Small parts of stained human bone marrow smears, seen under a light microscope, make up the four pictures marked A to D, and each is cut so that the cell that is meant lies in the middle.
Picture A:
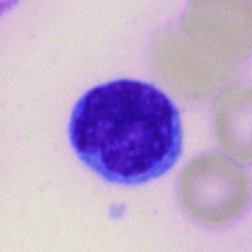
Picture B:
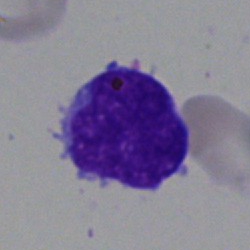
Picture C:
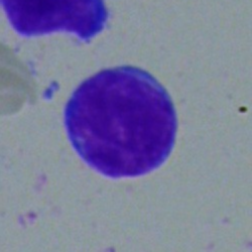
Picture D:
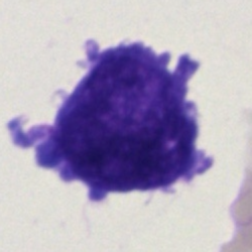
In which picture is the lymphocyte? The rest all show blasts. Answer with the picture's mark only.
A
